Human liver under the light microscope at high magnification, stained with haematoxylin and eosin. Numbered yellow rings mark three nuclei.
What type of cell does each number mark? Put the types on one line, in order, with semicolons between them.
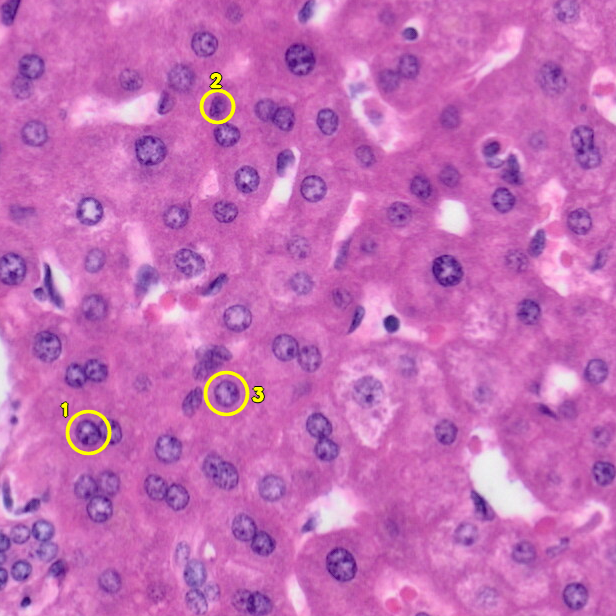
hepatocyte; fibroblast or stellate cell; hepatocyte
